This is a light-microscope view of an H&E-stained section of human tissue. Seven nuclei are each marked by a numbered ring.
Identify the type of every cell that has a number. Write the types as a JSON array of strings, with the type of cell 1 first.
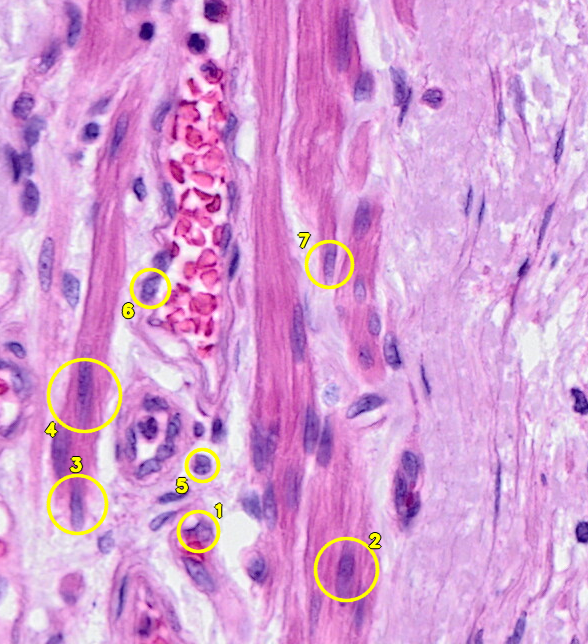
["endothelial cell", "smooth muscle cell", "smooth muscle cell", "smooth muscle cell", "lymphocyte", "endothelial cell", "smooth muscle cell"]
